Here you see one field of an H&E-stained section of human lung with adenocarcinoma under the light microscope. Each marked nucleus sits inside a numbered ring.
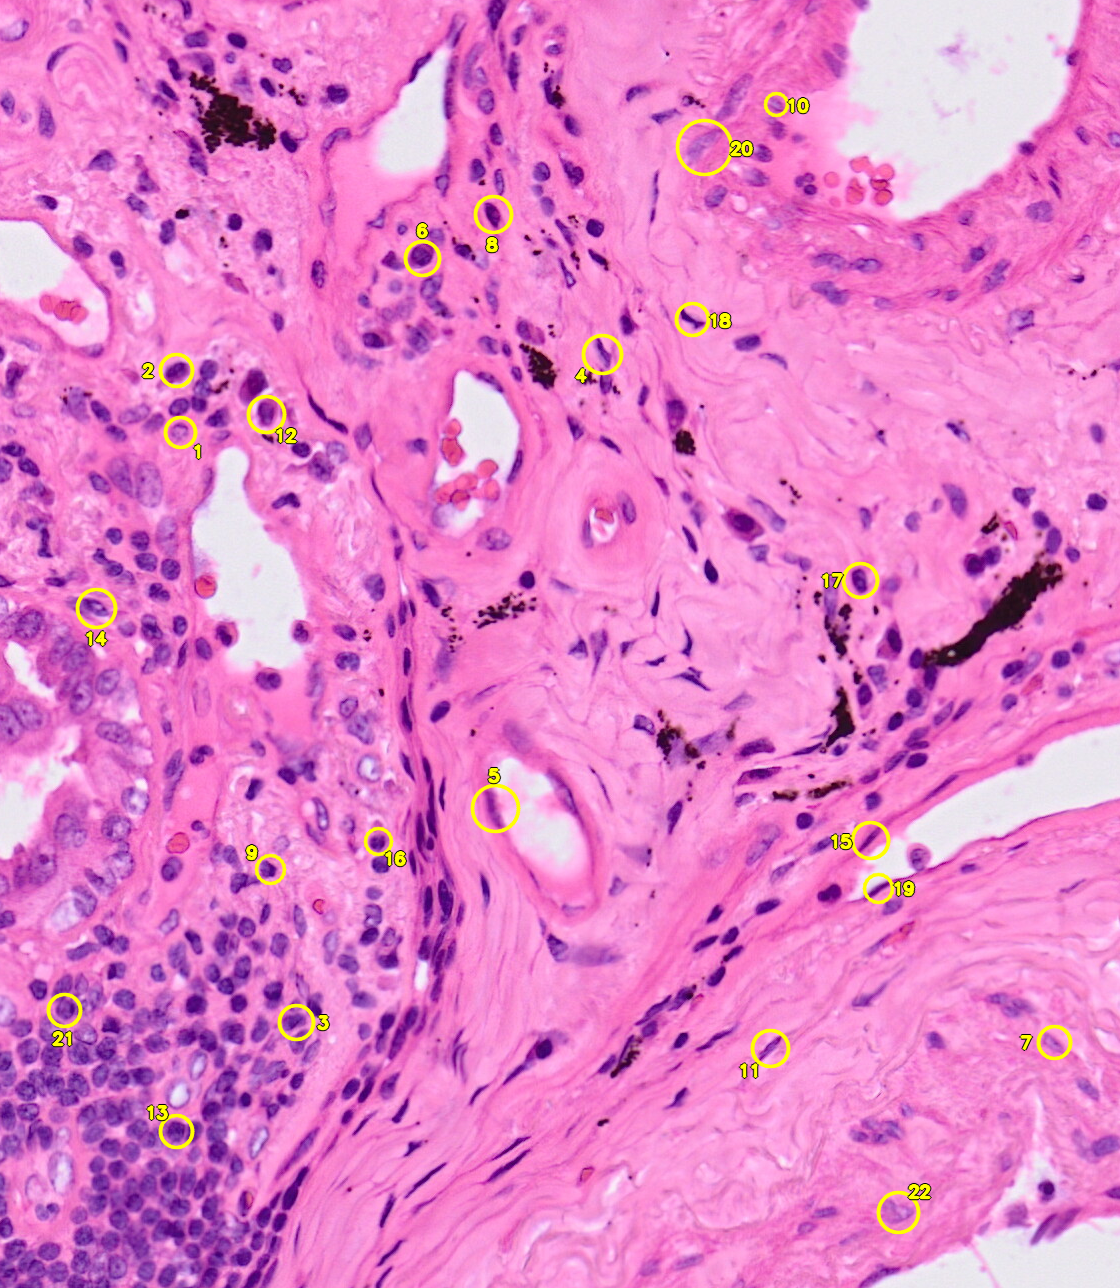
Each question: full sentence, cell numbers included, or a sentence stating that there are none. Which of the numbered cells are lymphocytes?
Cells 3, 9, 13, 14 and 21 in the section are typed as lymphocytes.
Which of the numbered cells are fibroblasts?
In this section, the cells numbered 4, 11 and 18 are fibroblasts.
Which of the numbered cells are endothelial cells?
The cells with the numbers 5, 15 and 19 are endothelial cells.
